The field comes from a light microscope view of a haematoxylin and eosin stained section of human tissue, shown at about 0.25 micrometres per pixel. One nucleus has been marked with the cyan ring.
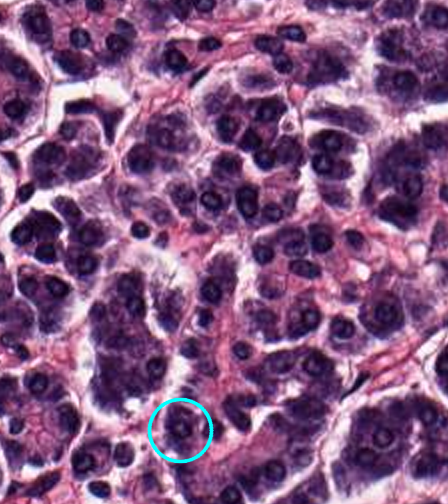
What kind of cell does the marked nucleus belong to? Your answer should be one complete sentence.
It is a pancreatic acinar cell whose nucleus is marked.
